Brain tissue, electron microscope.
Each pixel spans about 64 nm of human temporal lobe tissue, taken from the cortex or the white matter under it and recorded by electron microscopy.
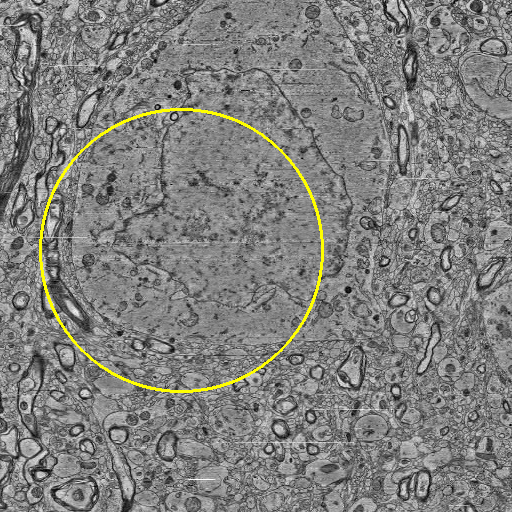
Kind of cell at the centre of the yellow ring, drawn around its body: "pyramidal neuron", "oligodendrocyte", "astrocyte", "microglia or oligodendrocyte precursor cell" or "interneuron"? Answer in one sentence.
The ring's centre falls on a pyramidal neuron.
